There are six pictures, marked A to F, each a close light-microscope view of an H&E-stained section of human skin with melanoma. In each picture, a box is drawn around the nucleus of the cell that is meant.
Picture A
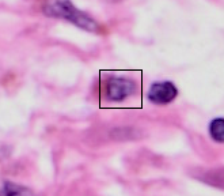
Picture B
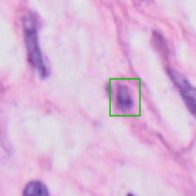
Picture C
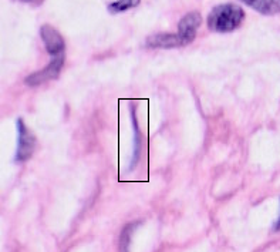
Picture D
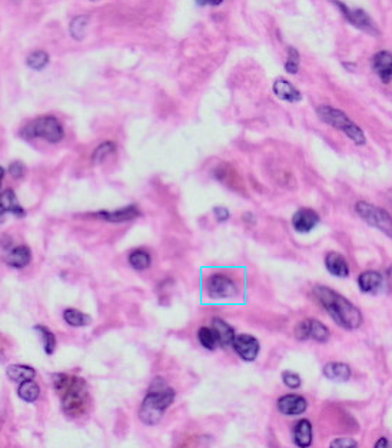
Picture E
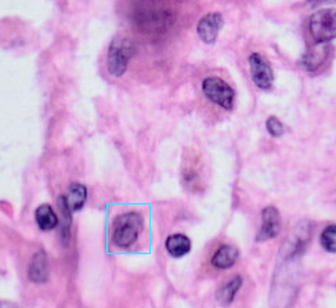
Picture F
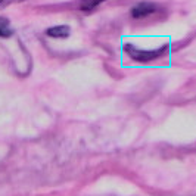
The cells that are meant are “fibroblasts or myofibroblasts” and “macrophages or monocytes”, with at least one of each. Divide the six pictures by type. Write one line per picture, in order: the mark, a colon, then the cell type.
A: macrophage or monocyte
B: macrophage or monocyte
C: fibroblast or myofibroblast
D: macrophage or monocyte
E: macrophage or monocyte
F: fibroblast or myofibroblast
